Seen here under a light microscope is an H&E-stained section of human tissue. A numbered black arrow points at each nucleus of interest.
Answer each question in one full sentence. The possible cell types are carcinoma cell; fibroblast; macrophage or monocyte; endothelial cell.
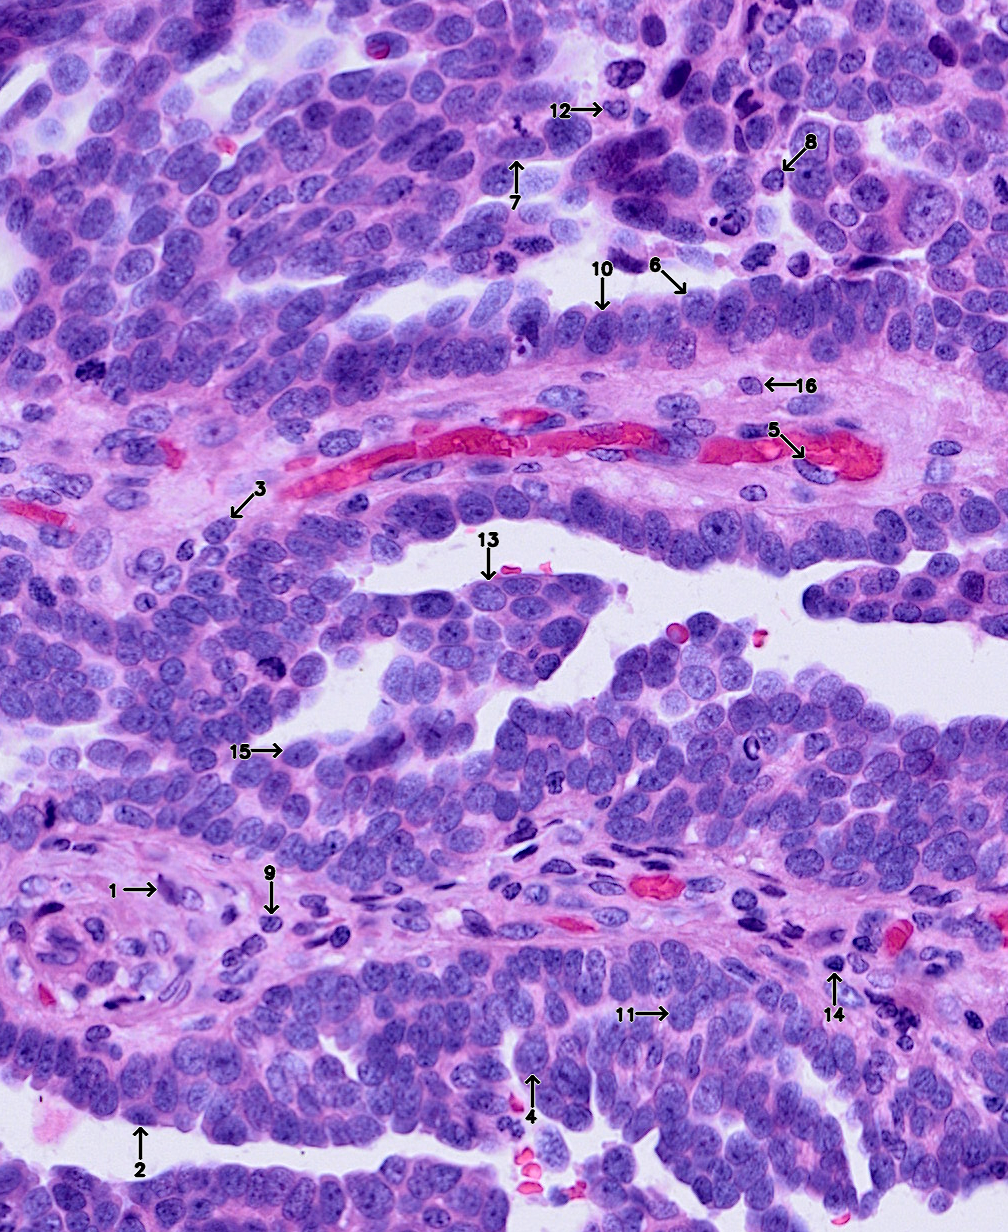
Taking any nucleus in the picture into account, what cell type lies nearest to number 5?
Number 5 lies closest to the nucleus of a fibroblast.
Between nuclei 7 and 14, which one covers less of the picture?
The smaller nucleus is 14, and 7 covers roughly 1.5 times its area.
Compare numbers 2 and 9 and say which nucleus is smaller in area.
The smaller nucleus is 9, and 2 covers roughly 1.5 times its area.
